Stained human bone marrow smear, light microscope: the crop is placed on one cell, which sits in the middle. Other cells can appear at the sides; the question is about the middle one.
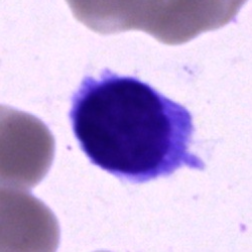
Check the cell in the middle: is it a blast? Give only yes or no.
no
